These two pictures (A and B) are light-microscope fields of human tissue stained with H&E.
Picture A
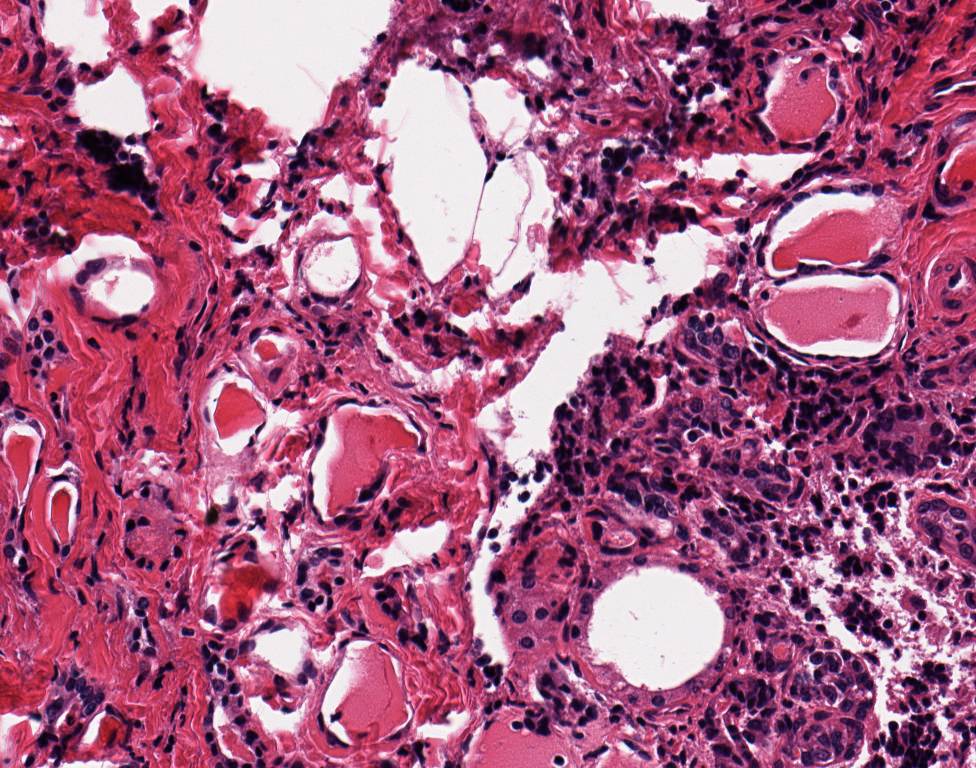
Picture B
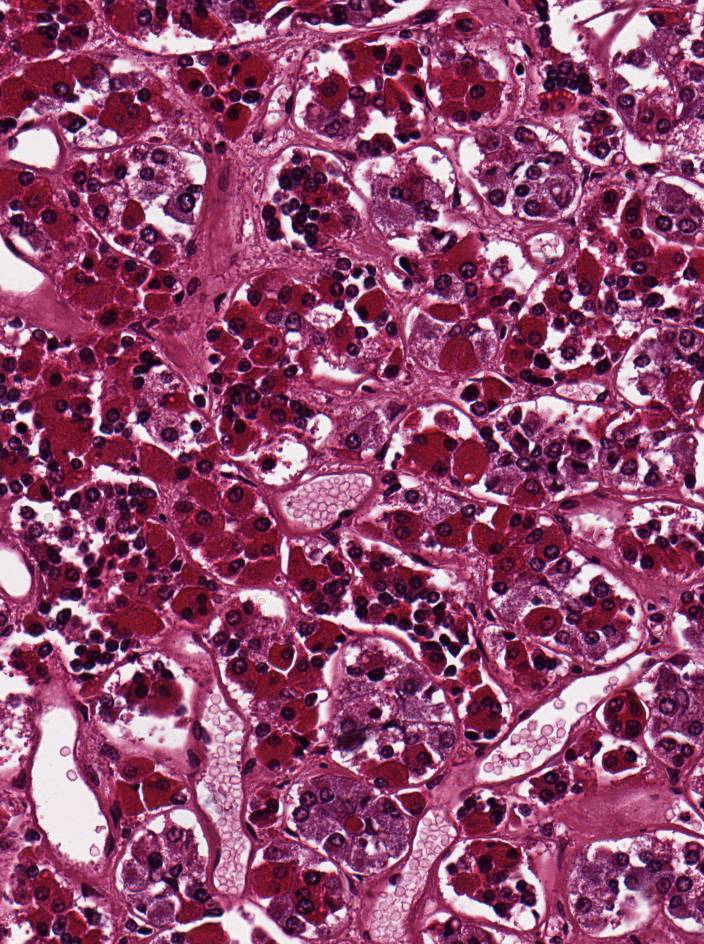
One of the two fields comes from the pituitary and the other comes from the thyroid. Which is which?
A: thyroid
B: pituitary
